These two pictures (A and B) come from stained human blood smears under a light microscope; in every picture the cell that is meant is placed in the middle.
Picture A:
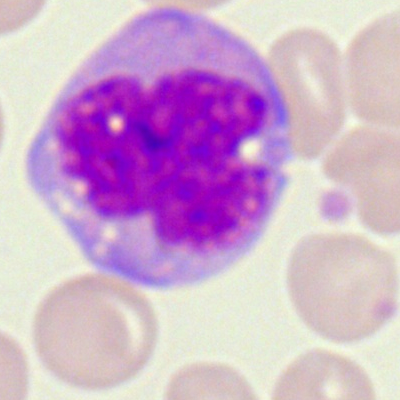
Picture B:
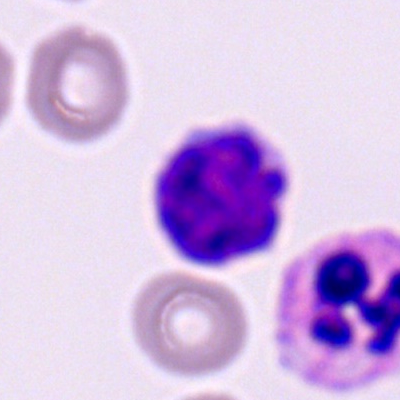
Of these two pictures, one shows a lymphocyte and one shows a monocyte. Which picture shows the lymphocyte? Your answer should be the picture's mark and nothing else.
B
